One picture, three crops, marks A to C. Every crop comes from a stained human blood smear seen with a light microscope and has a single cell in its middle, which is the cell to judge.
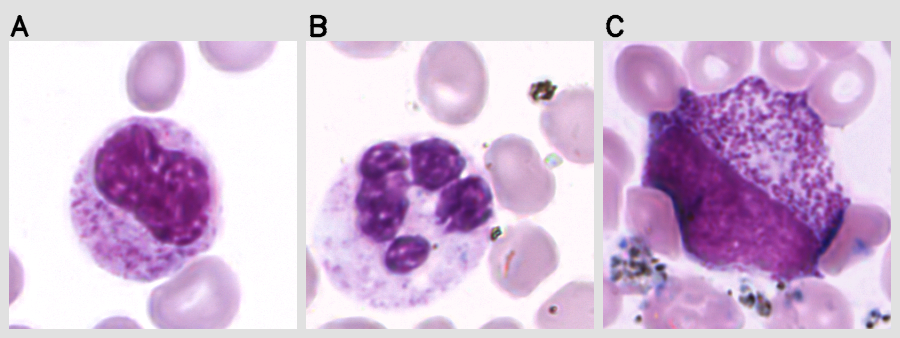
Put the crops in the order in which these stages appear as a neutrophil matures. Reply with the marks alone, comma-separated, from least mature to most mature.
C, A, B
